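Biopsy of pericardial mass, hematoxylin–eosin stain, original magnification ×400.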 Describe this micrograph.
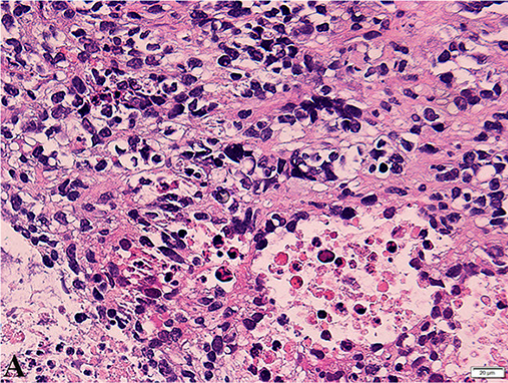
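This is a cellular tumor made of pleomorphic spindle and ovoid cells. The nuclei are dark purple, enlarged and vary markedly in size and shape, some elongated, others oval or rounded, with irregular outlines. The cells lie crowded and disorderly, in places loosely separated by pale pink, oedematous-looking stroma and thin strands of eosinophilic fibrous tissue. Cytoplasm is scanty to moderate and pale pink. Scattered red blood cells lie in small spaces among the tumor cells, especially toward the lower right. The nuclear atypia and disorganised growth indicate a malignant tumor.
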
